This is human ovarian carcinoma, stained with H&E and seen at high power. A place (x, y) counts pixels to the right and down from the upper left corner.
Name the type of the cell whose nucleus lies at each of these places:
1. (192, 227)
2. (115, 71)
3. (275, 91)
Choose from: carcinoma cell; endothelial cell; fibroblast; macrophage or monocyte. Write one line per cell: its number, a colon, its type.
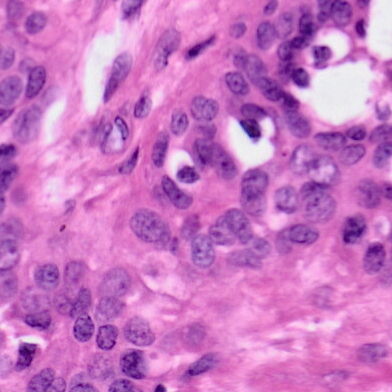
1: carcinoma cell
2: fibroblast
3: carcinoma cell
